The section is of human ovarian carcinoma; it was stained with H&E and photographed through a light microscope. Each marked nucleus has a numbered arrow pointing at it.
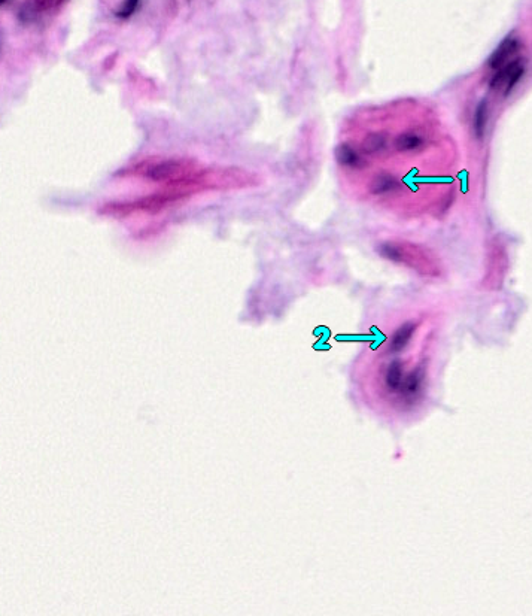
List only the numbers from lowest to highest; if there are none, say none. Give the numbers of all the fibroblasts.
none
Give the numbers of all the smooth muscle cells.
1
